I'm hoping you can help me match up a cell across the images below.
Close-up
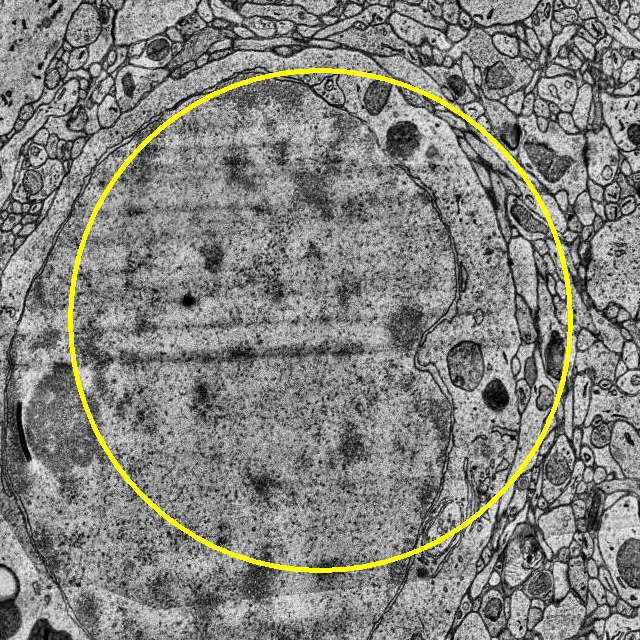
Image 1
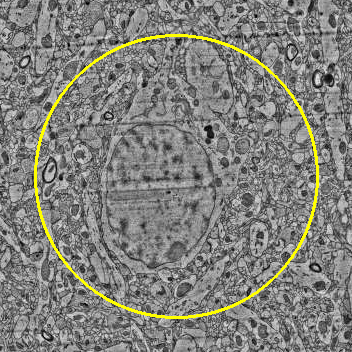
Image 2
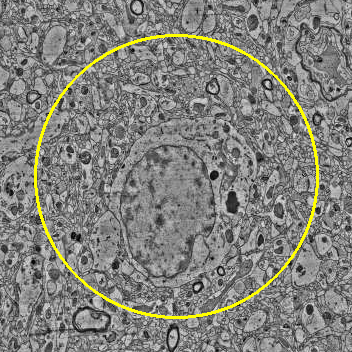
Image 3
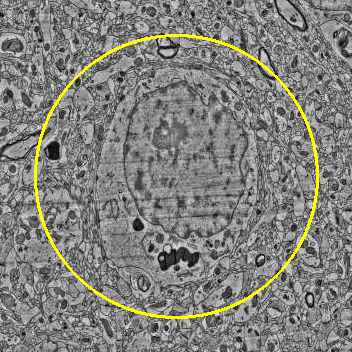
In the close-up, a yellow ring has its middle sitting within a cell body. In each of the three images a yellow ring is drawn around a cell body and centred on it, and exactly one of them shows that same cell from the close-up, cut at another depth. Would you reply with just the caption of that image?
Image 1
